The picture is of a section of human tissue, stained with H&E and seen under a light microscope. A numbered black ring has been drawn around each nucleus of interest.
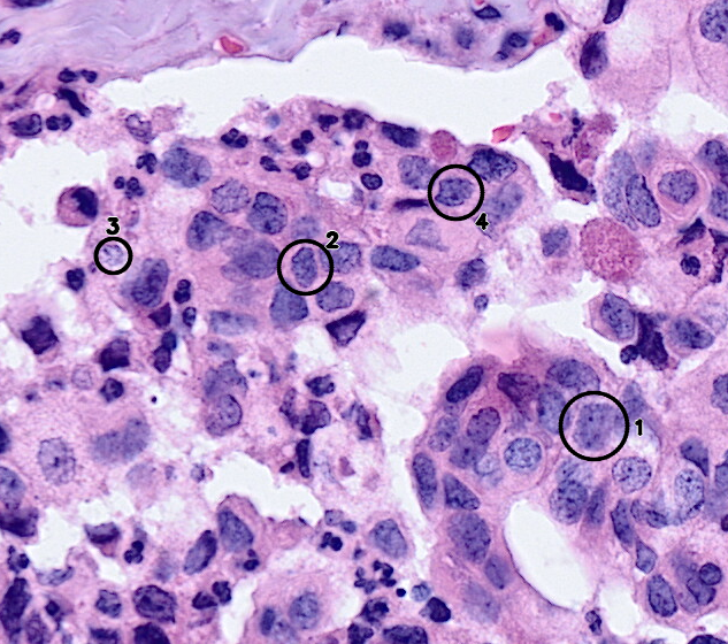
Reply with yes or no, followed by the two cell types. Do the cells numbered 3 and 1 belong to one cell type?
No, cell 3 is a macrophage, monocyte or dendritic cell and cell 1 is a carcinoma cell.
